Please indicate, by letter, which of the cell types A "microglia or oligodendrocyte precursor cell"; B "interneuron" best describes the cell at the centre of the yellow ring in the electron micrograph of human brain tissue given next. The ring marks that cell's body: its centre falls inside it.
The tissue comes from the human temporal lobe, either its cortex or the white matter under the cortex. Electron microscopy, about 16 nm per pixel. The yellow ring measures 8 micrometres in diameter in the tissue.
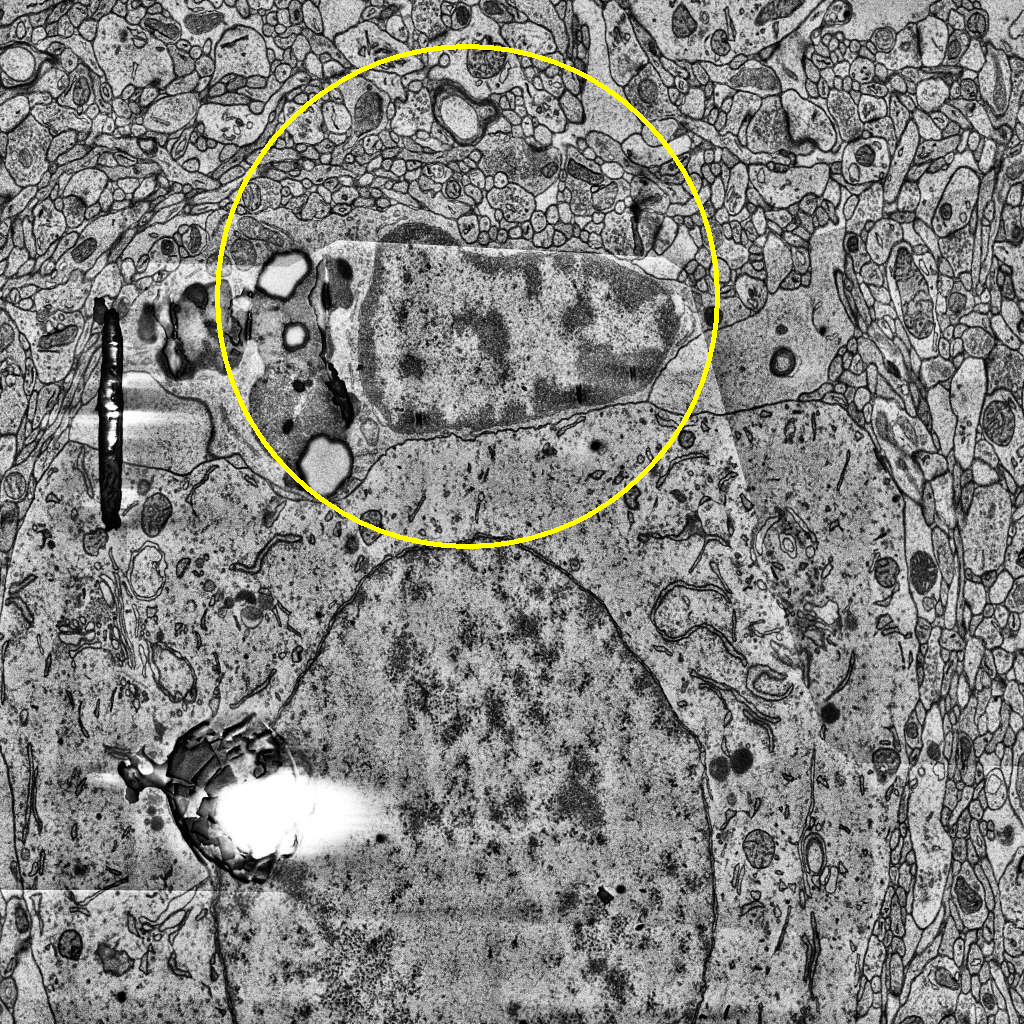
A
